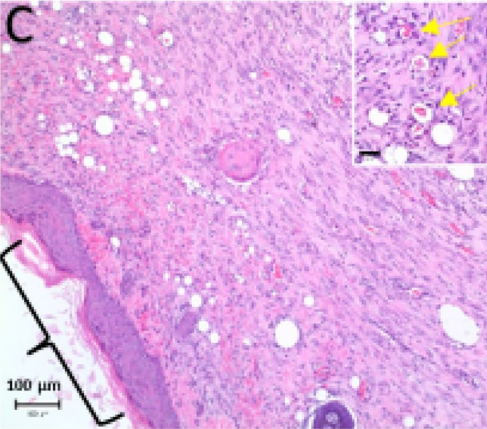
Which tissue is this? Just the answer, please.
granulation tissue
